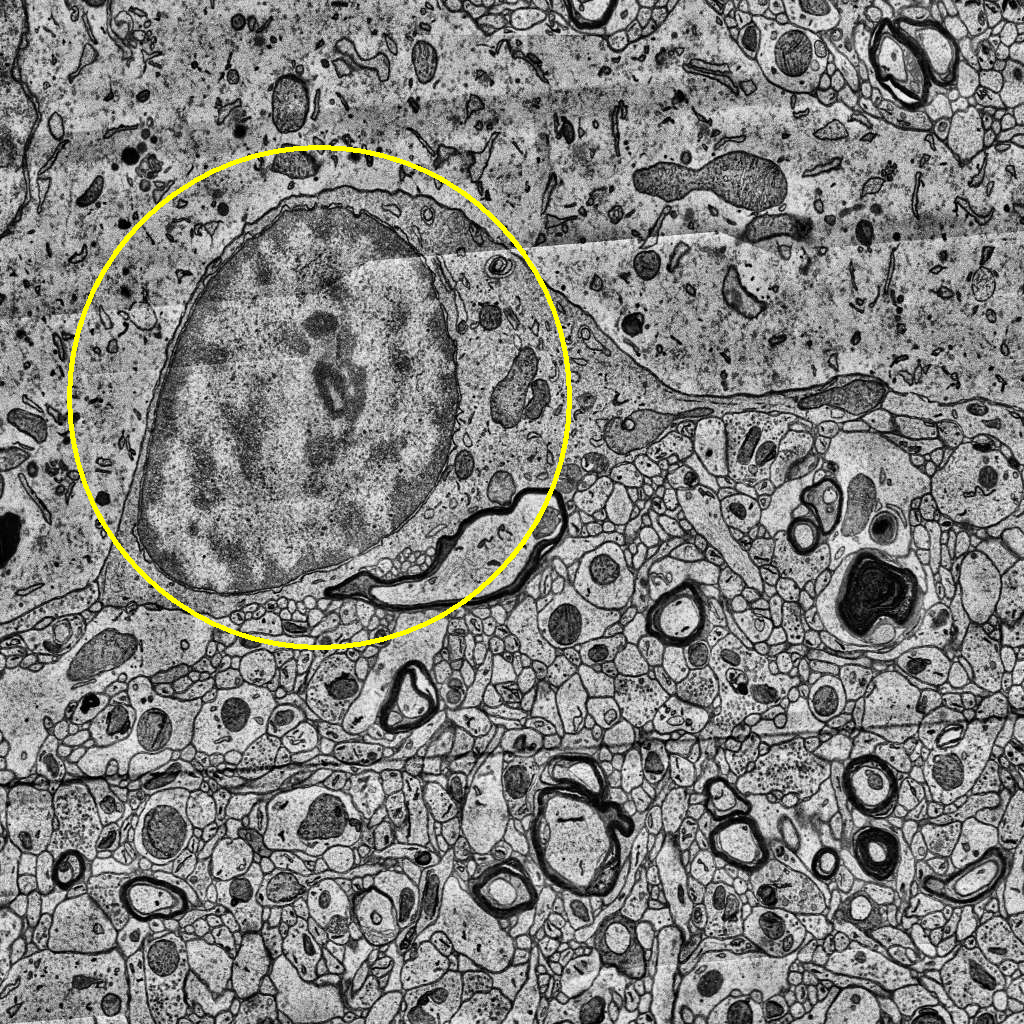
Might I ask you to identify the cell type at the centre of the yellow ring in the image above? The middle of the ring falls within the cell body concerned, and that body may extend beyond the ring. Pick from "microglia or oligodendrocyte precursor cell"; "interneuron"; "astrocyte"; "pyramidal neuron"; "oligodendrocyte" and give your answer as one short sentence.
The centre of the ring falls on an oligodendrocyte.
